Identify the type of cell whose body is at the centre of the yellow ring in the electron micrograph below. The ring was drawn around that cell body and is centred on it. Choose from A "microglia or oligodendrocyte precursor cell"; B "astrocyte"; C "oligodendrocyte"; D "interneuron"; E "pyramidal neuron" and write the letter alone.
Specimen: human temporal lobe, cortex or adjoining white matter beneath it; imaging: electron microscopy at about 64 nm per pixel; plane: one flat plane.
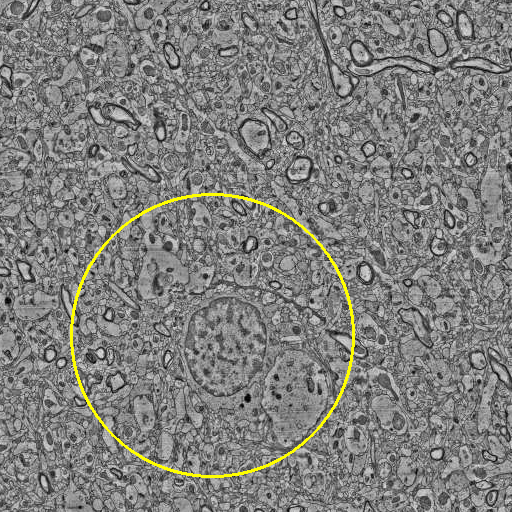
C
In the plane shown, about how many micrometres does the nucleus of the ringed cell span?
In this plane the nucleus spans approximately 7 by 5 micrometers.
